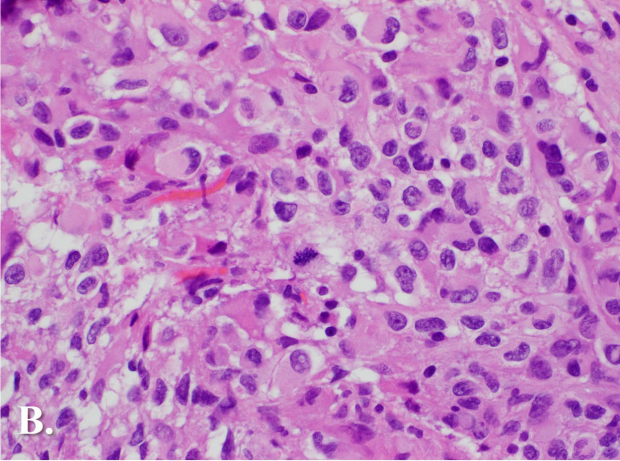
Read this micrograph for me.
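This high-power view shows densely packed tumor cells with marked nuclear atypia. The nuclei are oval to irregular, vary in size and chromatin density, and some are large and dark. Many cells have plump, glassy pink cytoplasm, and slender pink fibrillary processes run between them. A mitotic figure with condensed dark chromatin lies near the centre of the field. Small clear spaces separate groups of cells in places.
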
